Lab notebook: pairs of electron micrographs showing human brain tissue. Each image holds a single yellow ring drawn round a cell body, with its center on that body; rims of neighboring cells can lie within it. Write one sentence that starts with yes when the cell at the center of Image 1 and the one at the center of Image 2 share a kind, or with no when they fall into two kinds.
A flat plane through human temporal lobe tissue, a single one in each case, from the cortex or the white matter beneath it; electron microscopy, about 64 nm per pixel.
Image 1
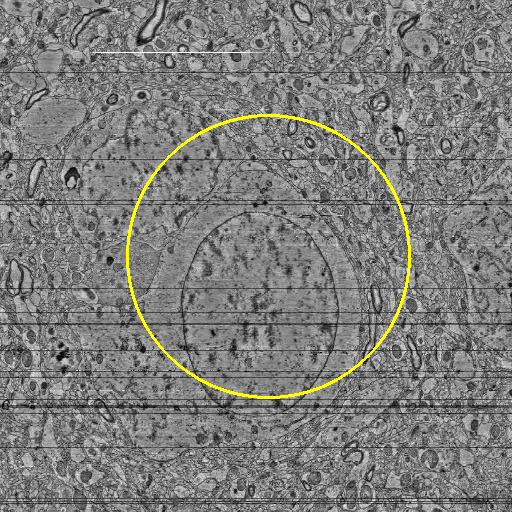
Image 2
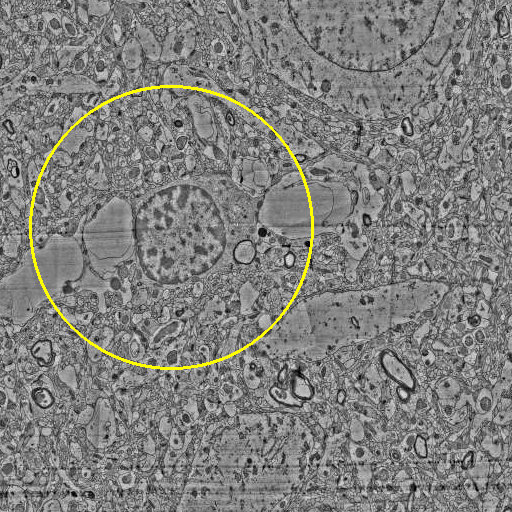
No, the centered cell in Image 1 and the centered cell in Image 2 are of two kinds.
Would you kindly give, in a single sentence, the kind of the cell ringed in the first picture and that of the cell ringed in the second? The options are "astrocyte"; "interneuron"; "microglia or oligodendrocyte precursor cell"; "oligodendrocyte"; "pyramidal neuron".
The second cell is an oligodendrocyte, and the first cell is a pyramidal neuron.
